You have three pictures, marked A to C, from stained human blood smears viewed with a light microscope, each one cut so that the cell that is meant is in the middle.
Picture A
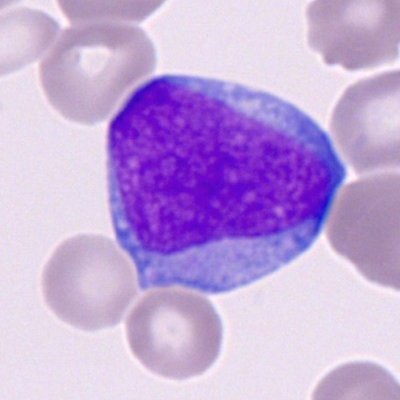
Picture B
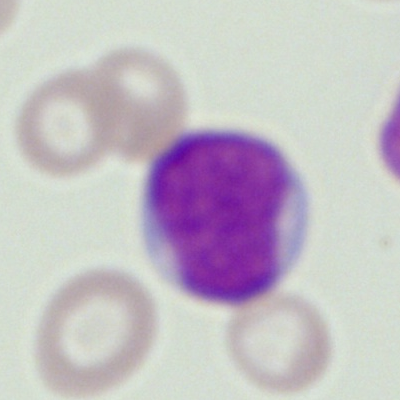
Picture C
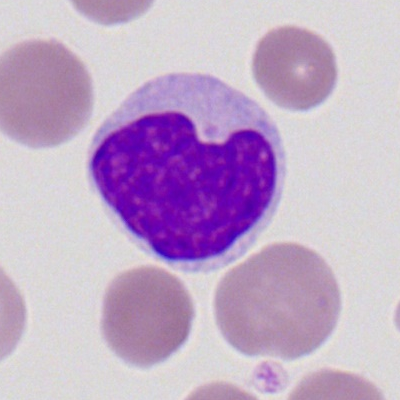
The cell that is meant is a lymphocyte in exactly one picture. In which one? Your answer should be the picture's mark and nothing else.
C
